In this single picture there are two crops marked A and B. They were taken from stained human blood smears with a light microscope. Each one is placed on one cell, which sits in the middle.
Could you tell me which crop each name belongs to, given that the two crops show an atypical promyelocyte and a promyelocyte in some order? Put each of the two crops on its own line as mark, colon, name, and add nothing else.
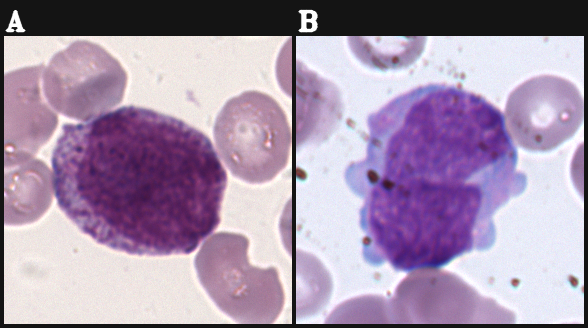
A: promyelocyte
B: atypical promyelocyte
